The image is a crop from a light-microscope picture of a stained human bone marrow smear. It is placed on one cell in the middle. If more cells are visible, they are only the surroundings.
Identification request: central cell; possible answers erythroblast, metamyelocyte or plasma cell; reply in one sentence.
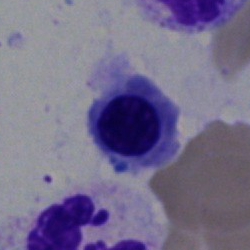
The cell in the exact centre of the crop is an erythroblast.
